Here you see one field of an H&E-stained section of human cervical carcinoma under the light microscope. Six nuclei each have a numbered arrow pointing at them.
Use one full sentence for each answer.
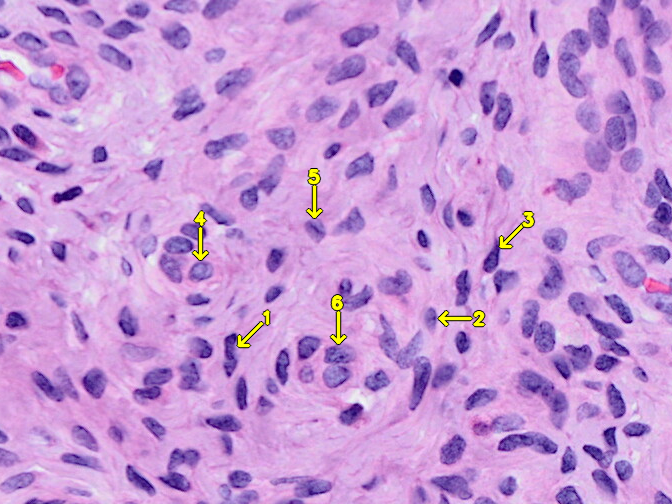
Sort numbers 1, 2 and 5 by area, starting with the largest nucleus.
The nuclei rank 1, 5, 2, from largest to smallest.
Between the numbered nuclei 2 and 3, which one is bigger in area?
Number 3 is larger; its area is about 1.5 times that of number 2.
